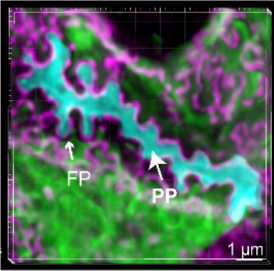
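Injured glomerular podocyte seen at nanoscale in a volumetric rendering. A broad process filled with cyan signal runs diagonally across the field, from upper left to lower right. Its border is wavy and scalloped and is edged by magenta. Short, looped magenta-outlined processes lie to either side of it against a green background. The image lacks the fine, regular rows of slender processes seen in healthy tissue.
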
